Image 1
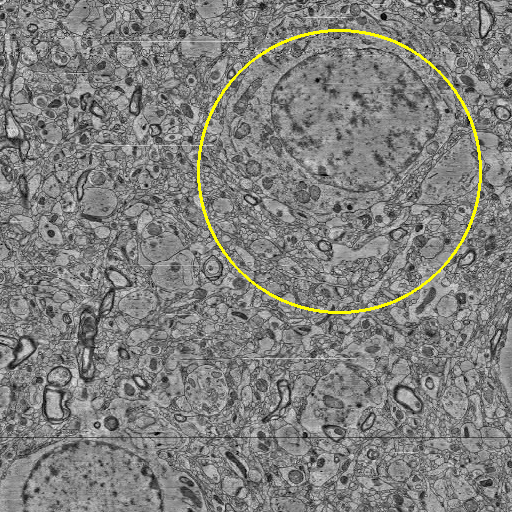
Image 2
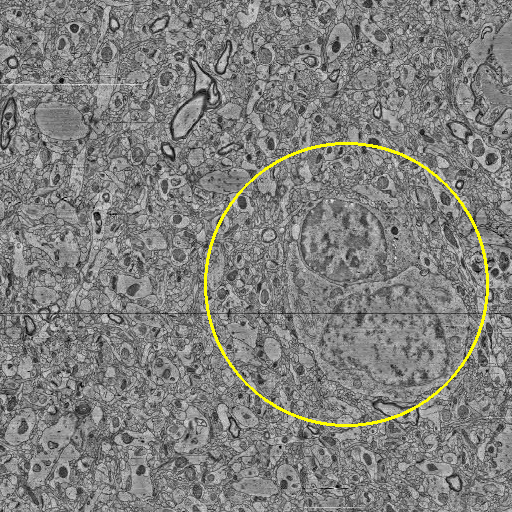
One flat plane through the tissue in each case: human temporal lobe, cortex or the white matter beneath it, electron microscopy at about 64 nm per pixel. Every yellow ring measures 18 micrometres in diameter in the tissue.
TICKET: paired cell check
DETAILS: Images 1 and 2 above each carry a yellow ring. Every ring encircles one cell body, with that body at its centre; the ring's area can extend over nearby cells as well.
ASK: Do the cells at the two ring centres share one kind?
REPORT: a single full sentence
No, the ring-centre cells of Images 1 and 2 belong to two kinds.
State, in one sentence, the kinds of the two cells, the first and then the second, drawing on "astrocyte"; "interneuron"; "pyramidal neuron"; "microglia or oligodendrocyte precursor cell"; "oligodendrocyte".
The ring in the second picture is centred on an oligodendrocyte, the ring in the first on an interneuron.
